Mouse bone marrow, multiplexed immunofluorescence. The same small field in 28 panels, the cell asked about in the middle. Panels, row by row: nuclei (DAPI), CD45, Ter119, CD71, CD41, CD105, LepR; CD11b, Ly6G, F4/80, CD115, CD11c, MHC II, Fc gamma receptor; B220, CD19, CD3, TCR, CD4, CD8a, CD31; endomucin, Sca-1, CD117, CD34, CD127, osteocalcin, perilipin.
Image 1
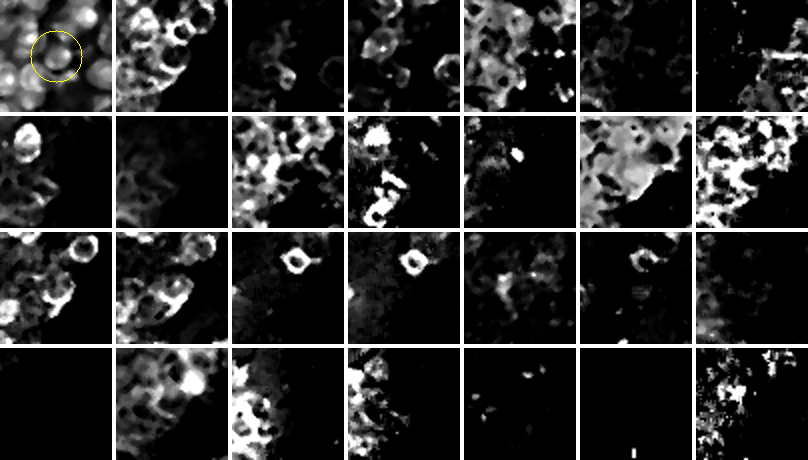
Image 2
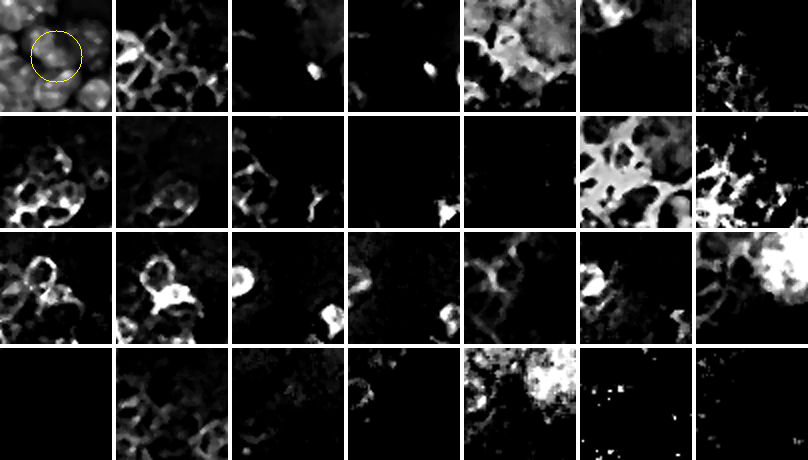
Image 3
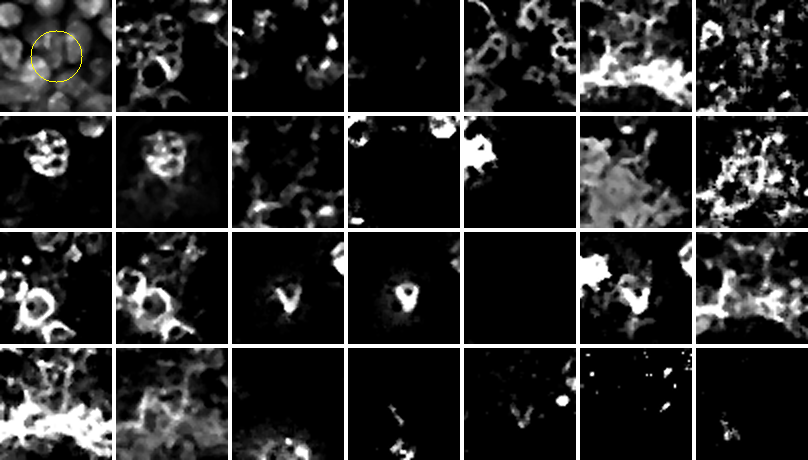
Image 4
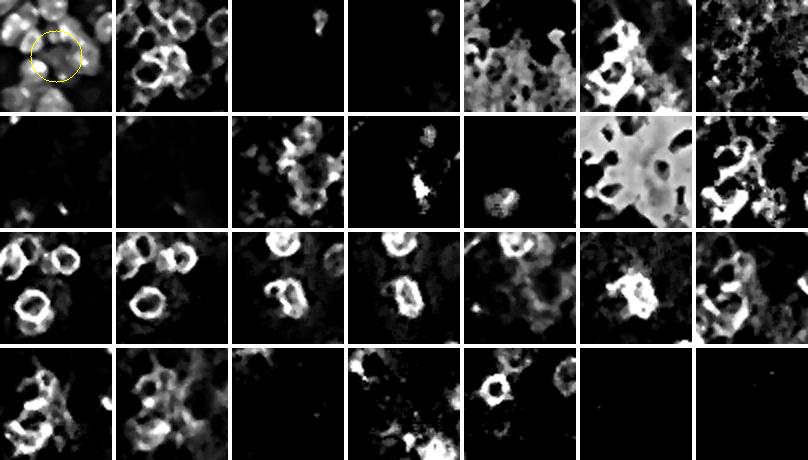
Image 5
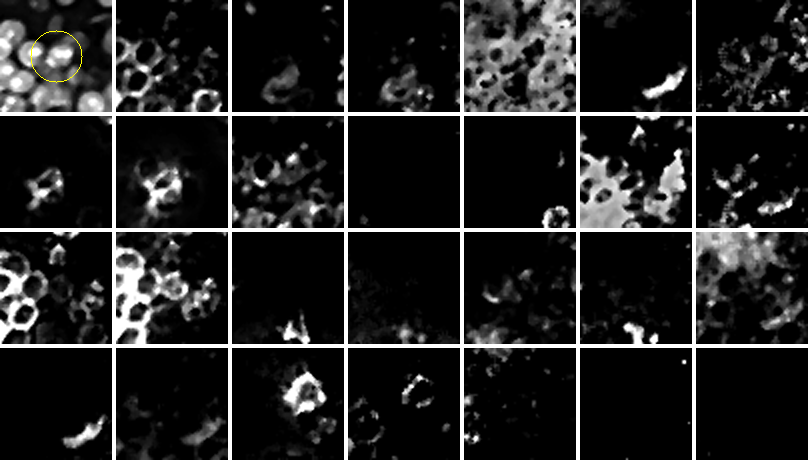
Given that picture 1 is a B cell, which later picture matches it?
2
